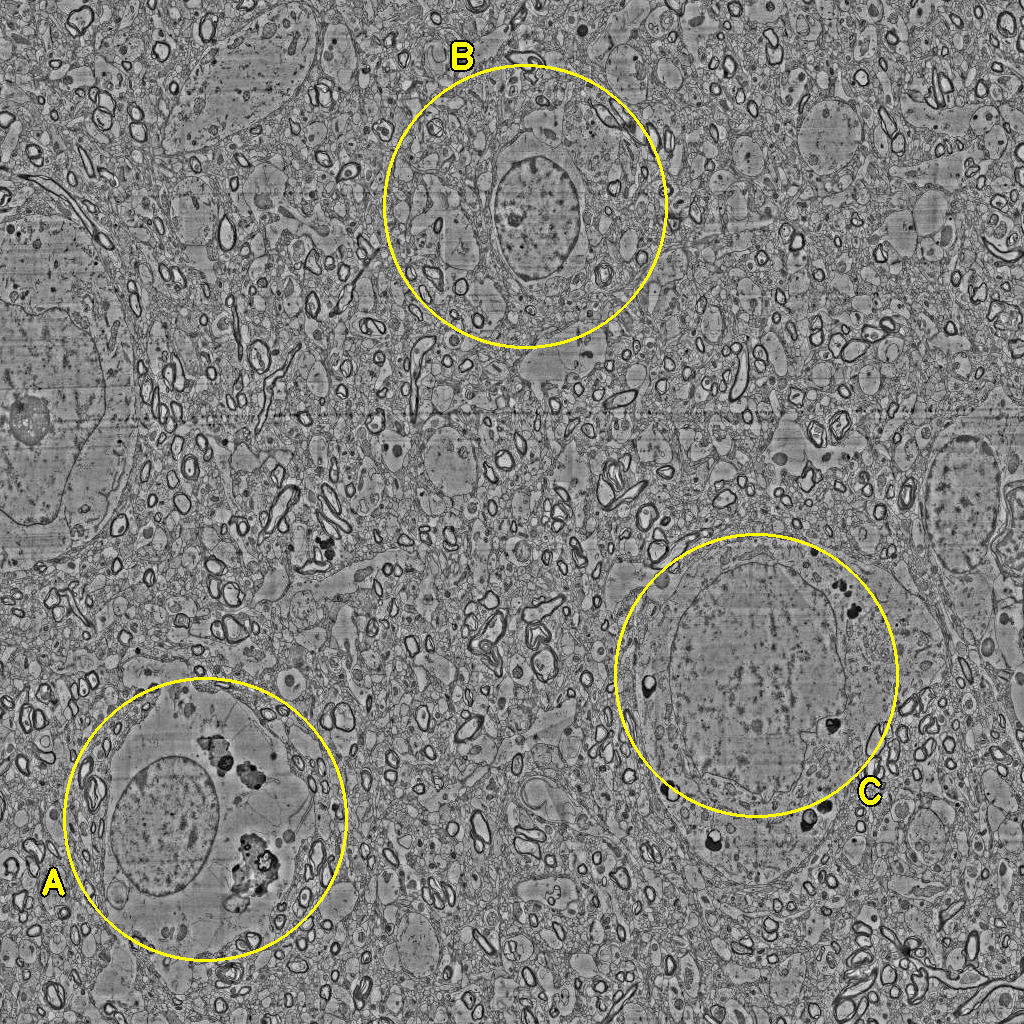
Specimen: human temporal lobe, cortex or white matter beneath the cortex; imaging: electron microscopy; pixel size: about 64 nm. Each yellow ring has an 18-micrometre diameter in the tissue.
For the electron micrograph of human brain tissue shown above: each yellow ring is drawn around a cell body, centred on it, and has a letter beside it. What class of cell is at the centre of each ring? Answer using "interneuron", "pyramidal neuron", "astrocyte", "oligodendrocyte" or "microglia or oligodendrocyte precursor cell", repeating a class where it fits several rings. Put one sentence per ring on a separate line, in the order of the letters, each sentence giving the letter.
At ring A, the central cell is an astrocyte.
At ring B, the central cell is a microglial cell or oligodendrocyte precursor cell.
At ring C, the central cell is a pyramidal neuron.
